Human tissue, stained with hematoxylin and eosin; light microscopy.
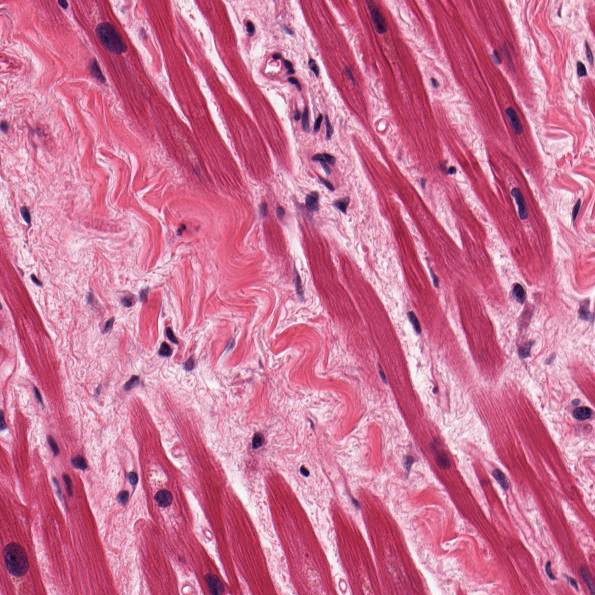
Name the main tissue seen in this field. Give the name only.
myocardium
